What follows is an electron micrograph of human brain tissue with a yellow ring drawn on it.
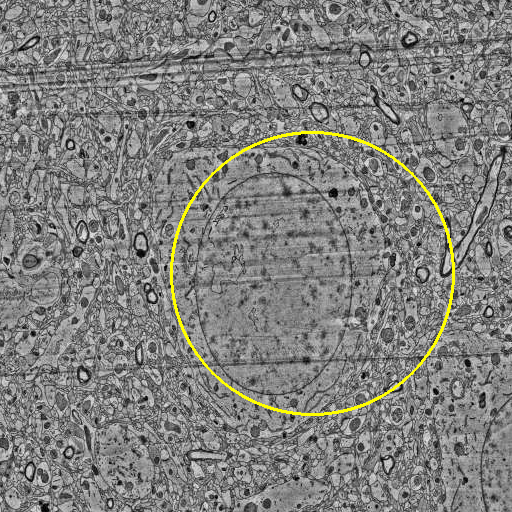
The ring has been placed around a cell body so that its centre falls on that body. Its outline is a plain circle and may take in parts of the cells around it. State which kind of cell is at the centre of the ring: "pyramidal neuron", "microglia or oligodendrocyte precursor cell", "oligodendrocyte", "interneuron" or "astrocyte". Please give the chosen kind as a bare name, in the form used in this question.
pyramidal neuron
